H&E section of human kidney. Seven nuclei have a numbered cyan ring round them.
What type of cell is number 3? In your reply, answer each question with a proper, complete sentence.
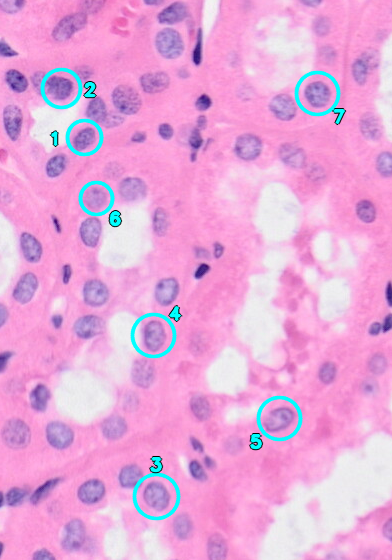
The one labeled 3 is a loop of Henle or distal tubule cell, to put it simply.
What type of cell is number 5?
In the tissue shown, cell 5 is a proximal tubule cell.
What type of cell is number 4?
To a loop of Henle or distal tubule cell belongs the nucleus marked 4.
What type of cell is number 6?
Numbered cell 6 is a loop of Henle or distal tubule cell in this tissue section.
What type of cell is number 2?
The correct answer for cell 2 is a collecting duct cell.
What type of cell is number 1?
The numeral 1 marks a collecting duct cell in this section.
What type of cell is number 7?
The cell identified by number 7 is a loop of Henle or distal tubule cell.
